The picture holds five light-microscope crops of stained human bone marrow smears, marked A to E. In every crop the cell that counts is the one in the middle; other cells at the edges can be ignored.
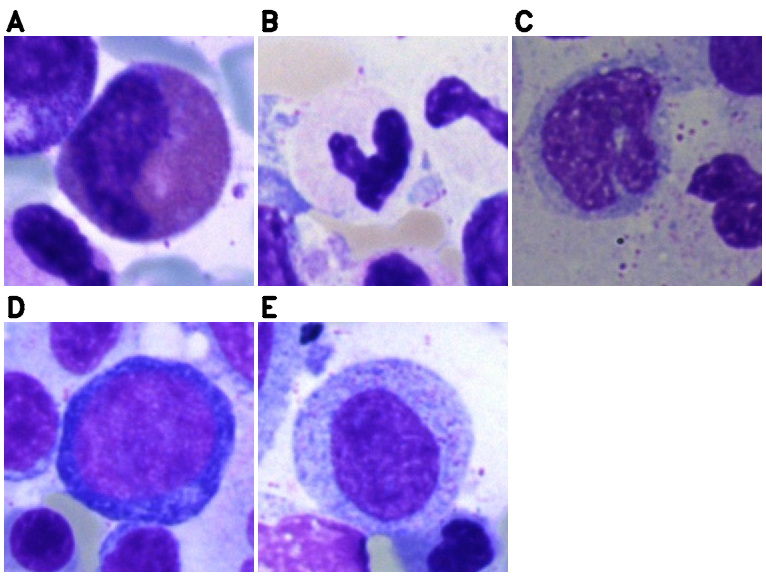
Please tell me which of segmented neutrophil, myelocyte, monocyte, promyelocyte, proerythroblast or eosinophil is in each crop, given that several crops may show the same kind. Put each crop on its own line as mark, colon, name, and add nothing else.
A: eosinophil
B: segmented neutrophil
C: monocyte
D: proerythroblast
E: myelocyte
